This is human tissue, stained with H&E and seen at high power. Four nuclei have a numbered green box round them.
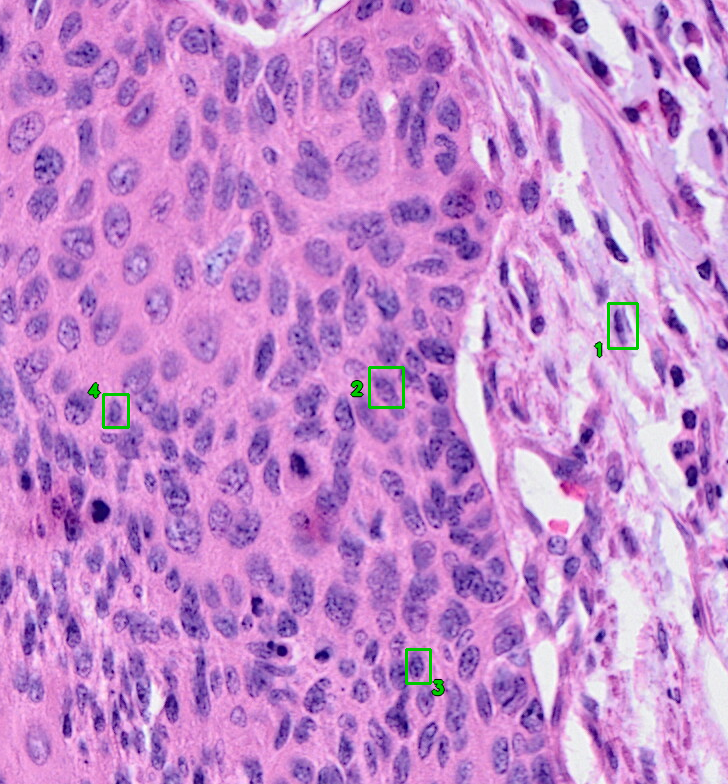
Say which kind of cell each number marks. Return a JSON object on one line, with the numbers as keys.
{"1": "fibroblast", "2": "squamous carcinoma cell", "3": "squamous carcinoma cell", "4": "squamous carcinoma cell"}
